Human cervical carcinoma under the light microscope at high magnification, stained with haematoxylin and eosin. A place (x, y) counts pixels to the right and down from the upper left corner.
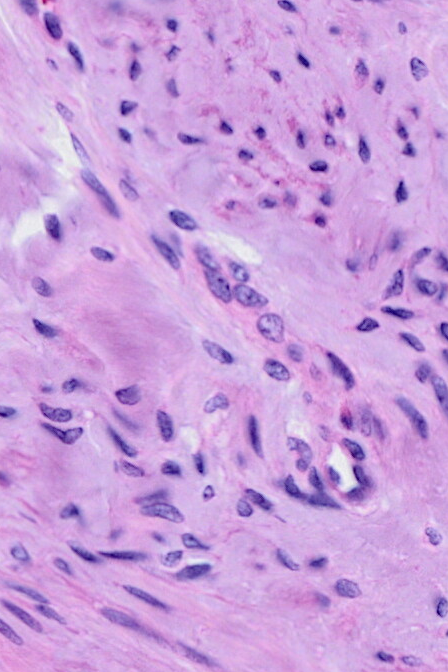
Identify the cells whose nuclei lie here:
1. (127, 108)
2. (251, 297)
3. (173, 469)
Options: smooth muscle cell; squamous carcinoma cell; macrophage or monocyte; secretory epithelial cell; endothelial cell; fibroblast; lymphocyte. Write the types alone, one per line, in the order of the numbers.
fibroblast
endothelial cell
fibroblast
